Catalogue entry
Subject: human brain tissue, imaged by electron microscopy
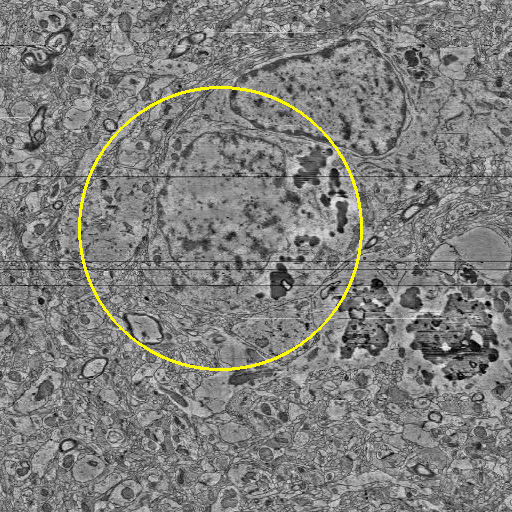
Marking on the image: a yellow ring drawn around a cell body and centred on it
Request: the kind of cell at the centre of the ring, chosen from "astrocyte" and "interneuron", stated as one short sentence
The ring has an interneuron at its centre.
